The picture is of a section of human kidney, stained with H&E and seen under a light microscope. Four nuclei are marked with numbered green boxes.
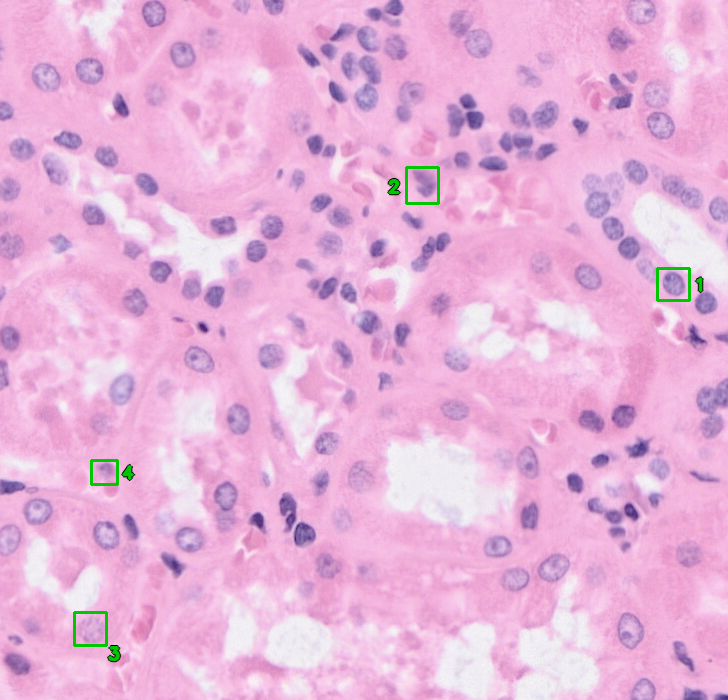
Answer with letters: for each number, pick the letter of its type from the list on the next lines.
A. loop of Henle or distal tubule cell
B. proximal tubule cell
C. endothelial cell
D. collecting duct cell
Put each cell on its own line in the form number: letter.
1: D
2: C
3: B
4: C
